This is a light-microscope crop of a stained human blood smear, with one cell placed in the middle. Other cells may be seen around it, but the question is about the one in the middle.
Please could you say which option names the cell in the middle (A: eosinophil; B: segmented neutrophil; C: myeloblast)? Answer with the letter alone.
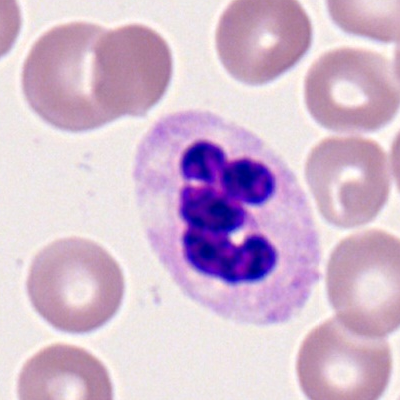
B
